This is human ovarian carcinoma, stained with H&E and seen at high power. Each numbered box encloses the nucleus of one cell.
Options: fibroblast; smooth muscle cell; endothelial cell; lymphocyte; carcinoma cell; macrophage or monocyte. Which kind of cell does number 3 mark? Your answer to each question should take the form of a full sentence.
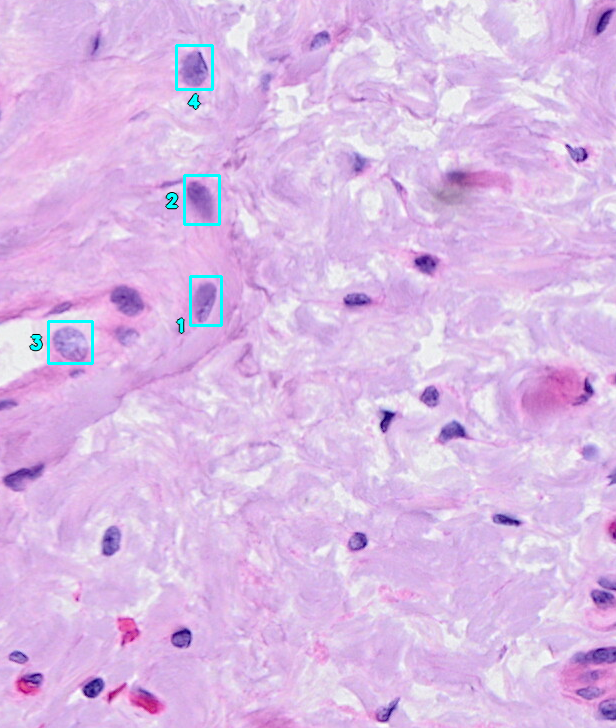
The expected answer is that cell 3 is an endothelial cell.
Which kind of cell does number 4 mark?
The cell pointed out as number 4 is a fibroblast.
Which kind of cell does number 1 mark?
Recognised here as a fibroblast is the cell numbered 1.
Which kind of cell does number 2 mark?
As for number 2, that cell is a fibroblast.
